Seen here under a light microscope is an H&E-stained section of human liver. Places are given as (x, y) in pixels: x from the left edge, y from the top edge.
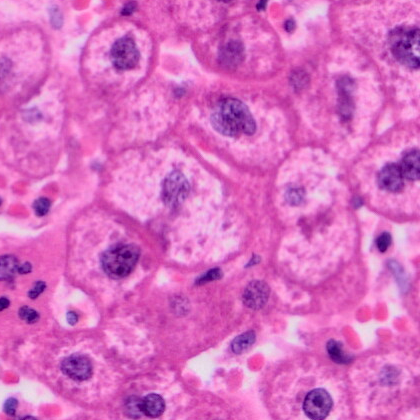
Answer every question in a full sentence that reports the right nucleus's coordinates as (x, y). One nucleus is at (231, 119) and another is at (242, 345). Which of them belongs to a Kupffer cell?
It is the nucleus at (242, 345) that forms part of a Kupffer cell.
